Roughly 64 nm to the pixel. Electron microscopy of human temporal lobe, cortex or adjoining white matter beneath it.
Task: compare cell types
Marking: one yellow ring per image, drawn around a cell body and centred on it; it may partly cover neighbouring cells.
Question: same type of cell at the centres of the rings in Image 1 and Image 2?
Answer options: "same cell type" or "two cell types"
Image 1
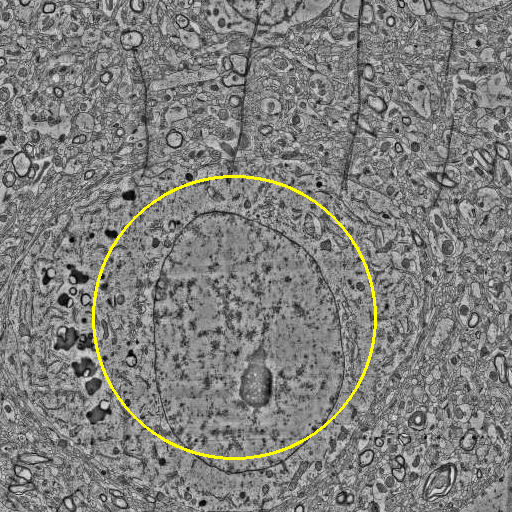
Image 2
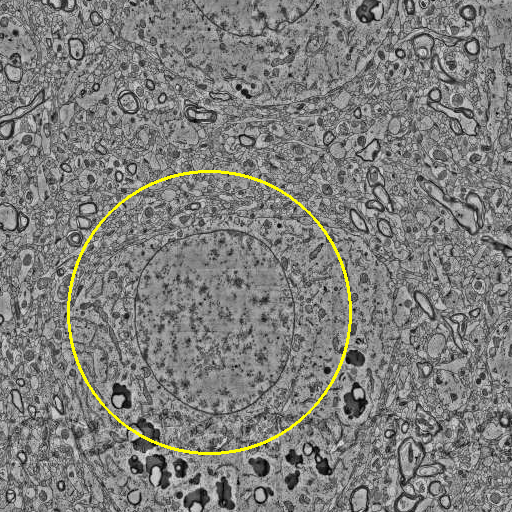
same cell type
